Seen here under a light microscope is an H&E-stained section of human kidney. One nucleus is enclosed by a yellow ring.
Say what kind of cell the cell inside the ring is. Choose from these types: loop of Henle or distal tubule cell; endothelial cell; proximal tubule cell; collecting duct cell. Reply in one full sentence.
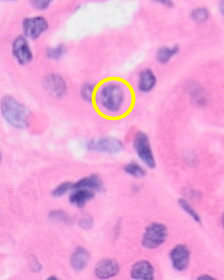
Within the stained tissue, the cell inside the ring is a collecting duct cell.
